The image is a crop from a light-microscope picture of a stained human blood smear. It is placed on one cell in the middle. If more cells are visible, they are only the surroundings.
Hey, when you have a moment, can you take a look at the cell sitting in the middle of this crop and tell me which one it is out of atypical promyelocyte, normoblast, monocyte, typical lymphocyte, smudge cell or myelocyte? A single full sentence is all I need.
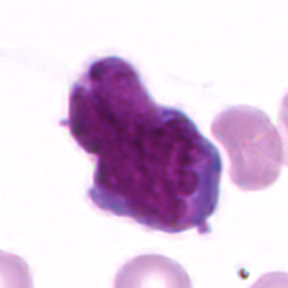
The cell centred in this crop is categorized as an atypical promyelocyte.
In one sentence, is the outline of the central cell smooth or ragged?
Seen at its edge, the cell is not smooth but ragged or projecting.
